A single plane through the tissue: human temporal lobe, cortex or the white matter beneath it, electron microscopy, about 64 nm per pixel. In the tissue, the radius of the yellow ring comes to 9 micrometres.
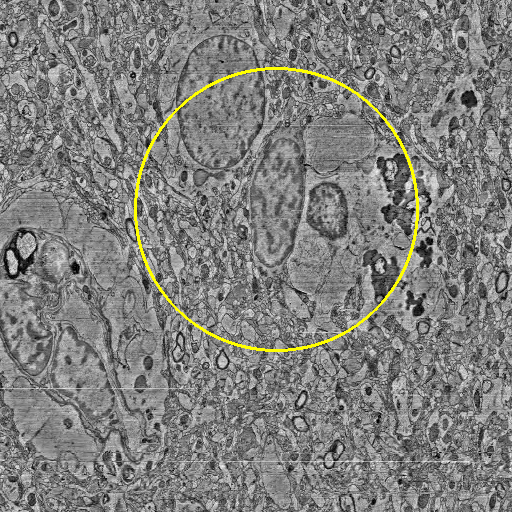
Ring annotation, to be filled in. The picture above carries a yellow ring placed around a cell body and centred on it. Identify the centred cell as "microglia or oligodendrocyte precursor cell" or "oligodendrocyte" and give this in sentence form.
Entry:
The cell in the middle of the ring is an oligodendrocyte.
